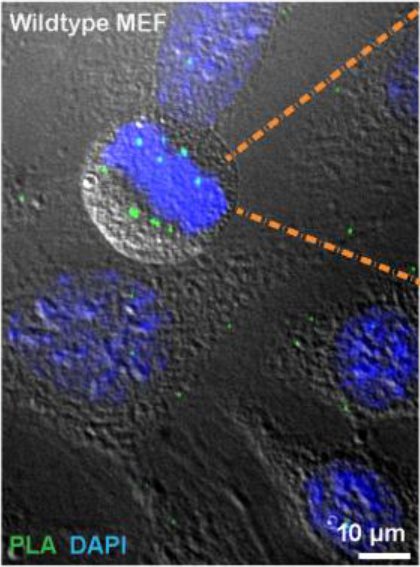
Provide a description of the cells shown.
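Small bright green dots lie scattered along and beside the chromosome mass. The rounded cell has a bright, sharply drawn border in the contrast image, unlike the flat, textured neighbours. The neighbouring cells carry round to oval blue nuclei with evenly mottled chromatin.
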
